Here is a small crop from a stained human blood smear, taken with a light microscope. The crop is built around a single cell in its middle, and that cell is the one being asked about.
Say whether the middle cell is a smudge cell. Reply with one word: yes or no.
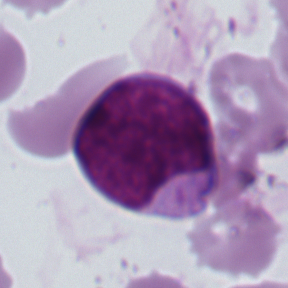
no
